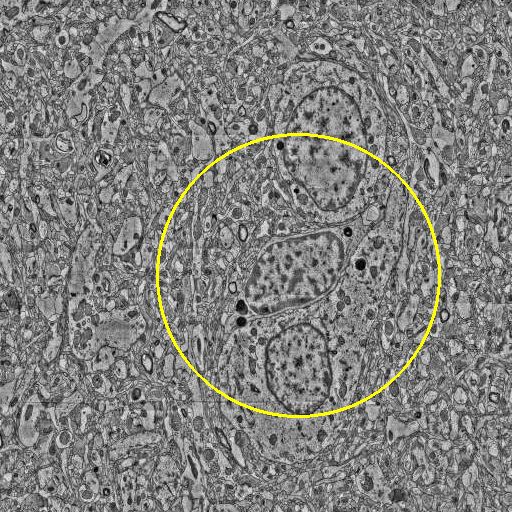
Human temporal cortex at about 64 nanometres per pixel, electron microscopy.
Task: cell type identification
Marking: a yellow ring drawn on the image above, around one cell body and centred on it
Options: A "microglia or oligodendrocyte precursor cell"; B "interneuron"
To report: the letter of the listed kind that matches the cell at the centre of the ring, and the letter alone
A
